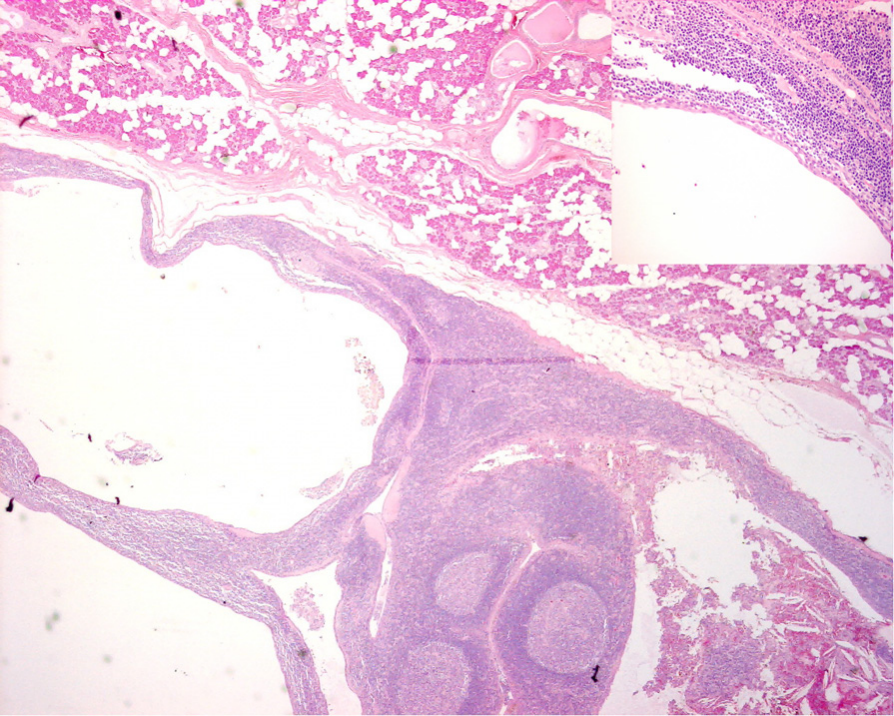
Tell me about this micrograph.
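Normal salivary gland with serous acini occupies the upper part of the field, made of small clustered acini with densely pink granular cytoplasm, scattered fat cells and small ducts. Below it lies a multi-loculated lesion of large empty cystic spaces whose thin walls are made of dense purple lymphoid tissue. The lymphoid tissue shows several large round pale germinal centres ringed by darker mantles of small lymphocytes. In the lower right a cyst lumen holds pink debris with many needle-shaped cholesterol clefts, and the inset shows a thin flattened epithelial lining lying directly on dense lymphoid tissue.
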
